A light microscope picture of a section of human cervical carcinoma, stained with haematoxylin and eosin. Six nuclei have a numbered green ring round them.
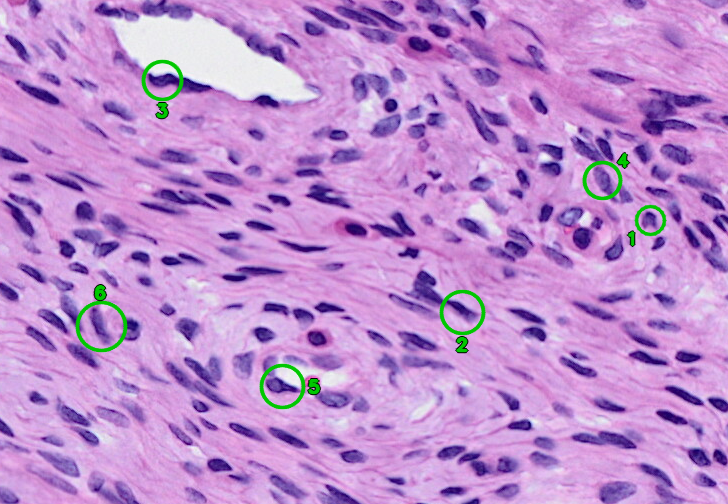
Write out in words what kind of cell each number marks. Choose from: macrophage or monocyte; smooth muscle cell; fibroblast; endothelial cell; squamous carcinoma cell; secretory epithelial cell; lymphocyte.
Cell 1 is a fibroblast, cell 2 is a fibroblast, cell 3 is an endothelial cell, cell 4 is a fibroblast, cell 5 is an endothelial cell and cell 6 is a fibroblast.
